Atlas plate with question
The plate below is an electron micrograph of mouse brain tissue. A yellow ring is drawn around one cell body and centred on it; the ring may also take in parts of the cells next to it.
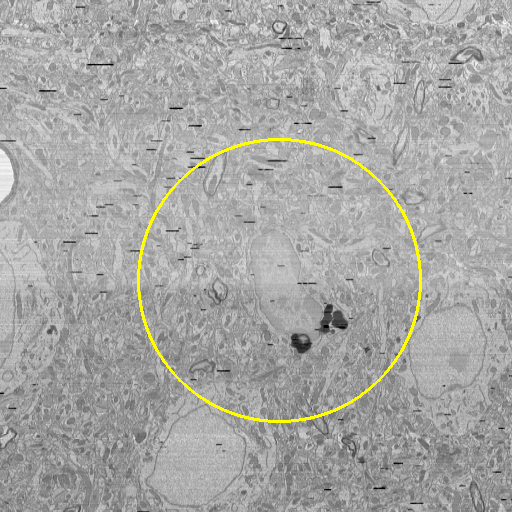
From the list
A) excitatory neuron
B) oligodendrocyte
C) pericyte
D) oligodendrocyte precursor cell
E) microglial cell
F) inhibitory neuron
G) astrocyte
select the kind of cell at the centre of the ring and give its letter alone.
E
